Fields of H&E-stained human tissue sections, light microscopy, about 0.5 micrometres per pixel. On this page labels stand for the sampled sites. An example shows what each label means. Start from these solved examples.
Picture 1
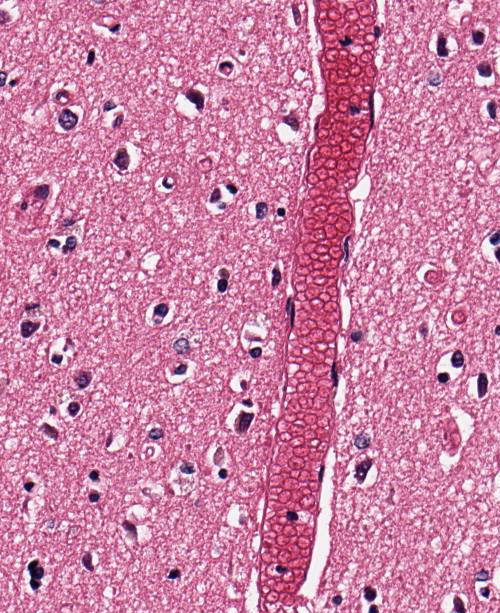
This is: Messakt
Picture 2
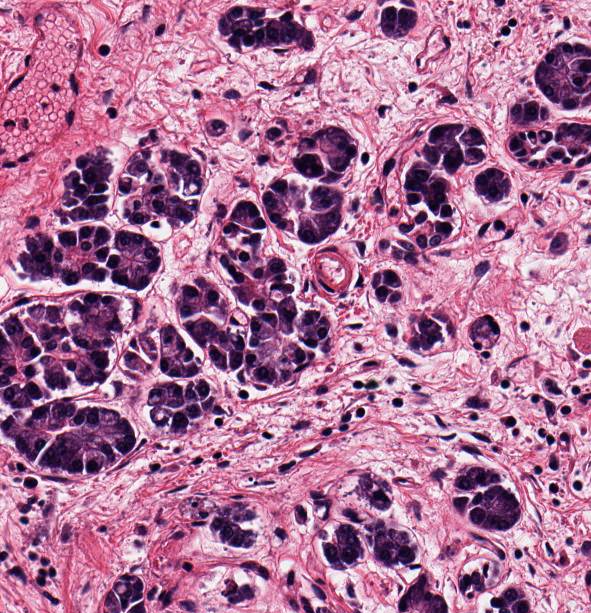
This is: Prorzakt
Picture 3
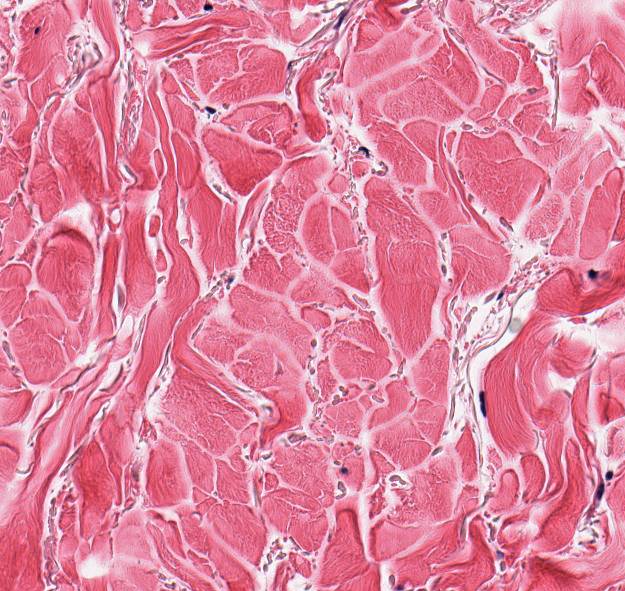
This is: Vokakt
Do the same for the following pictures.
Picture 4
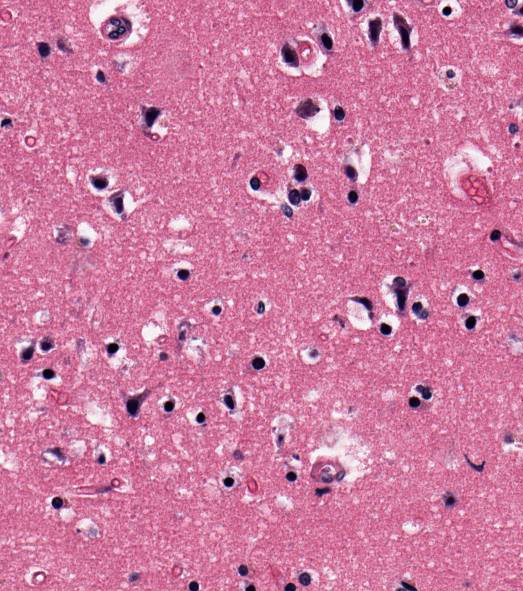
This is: Messakt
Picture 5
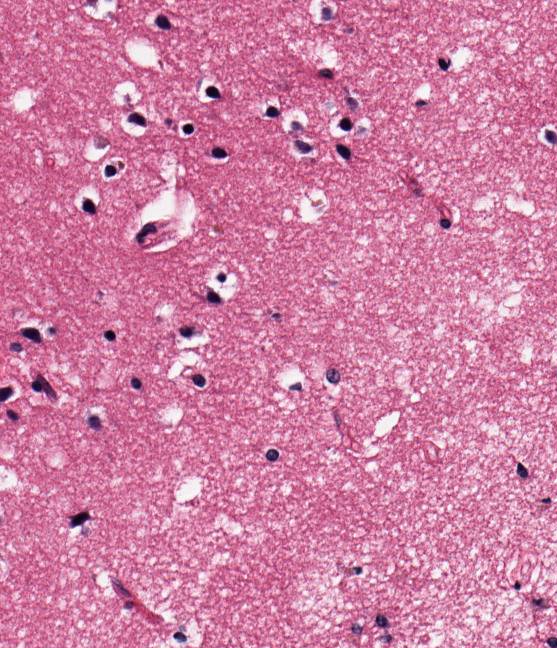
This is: Messakt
